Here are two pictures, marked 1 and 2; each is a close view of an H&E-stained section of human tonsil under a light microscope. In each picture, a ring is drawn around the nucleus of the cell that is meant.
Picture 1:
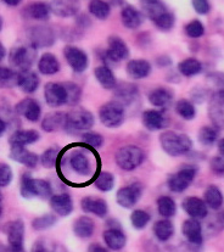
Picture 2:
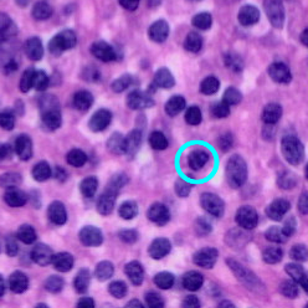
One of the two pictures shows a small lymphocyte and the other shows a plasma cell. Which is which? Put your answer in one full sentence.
Picture 1 shows a small lymphocyte and picture 2 shows a plasma cell.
